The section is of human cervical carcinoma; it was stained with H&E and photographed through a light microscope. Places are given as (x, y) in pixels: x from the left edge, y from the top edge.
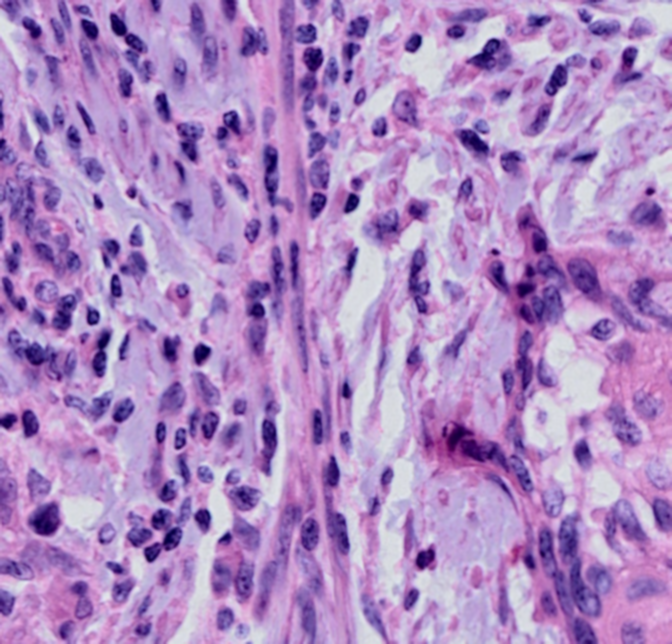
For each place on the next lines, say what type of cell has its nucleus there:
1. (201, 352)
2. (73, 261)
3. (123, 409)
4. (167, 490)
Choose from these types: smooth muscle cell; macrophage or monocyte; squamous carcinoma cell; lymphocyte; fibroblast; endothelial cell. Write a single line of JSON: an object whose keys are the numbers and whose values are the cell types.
{"1": "lymphocyte", "2": "endothelial cell", "3": "lymphocyte", "4": "lymphocyte"}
